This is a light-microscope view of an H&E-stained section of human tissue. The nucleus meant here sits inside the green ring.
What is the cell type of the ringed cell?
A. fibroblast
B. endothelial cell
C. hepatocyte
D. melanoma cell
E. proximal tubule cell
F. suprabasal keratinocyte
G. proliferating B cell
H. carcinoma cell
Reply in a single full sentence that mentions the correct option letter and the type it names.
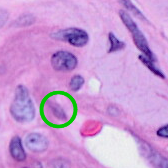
Option B is right, and the ringed cell is an endothelial cell.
